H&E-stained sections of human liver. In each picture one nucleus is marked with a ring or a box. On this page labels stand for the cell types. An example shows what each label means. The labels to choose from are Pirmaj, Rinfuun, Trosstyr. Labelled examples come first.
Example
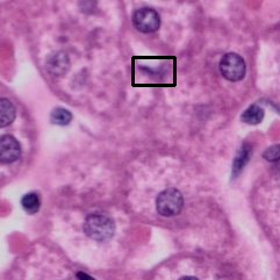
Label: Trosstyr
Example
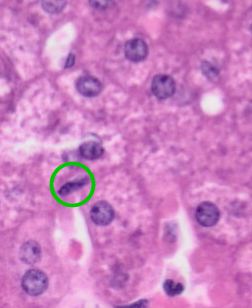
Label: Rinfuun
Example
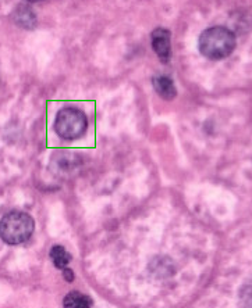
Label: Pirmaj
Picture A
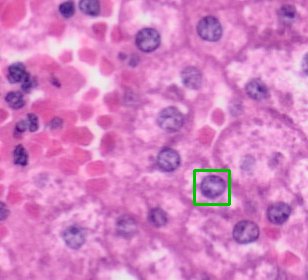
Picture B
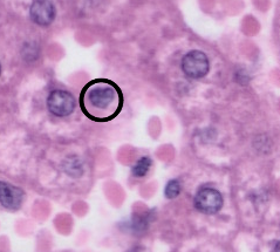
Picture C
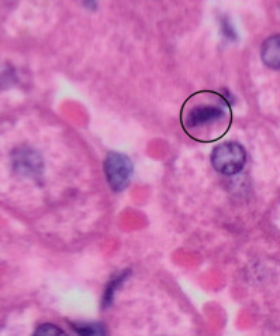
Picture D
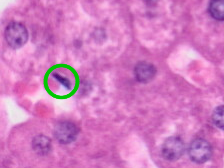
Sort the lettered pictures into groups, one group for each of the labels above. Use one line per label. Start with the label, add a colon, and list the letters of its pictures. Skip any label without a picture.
Pirmaj: A
Rinfuun: B, C
Trosstyr: D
